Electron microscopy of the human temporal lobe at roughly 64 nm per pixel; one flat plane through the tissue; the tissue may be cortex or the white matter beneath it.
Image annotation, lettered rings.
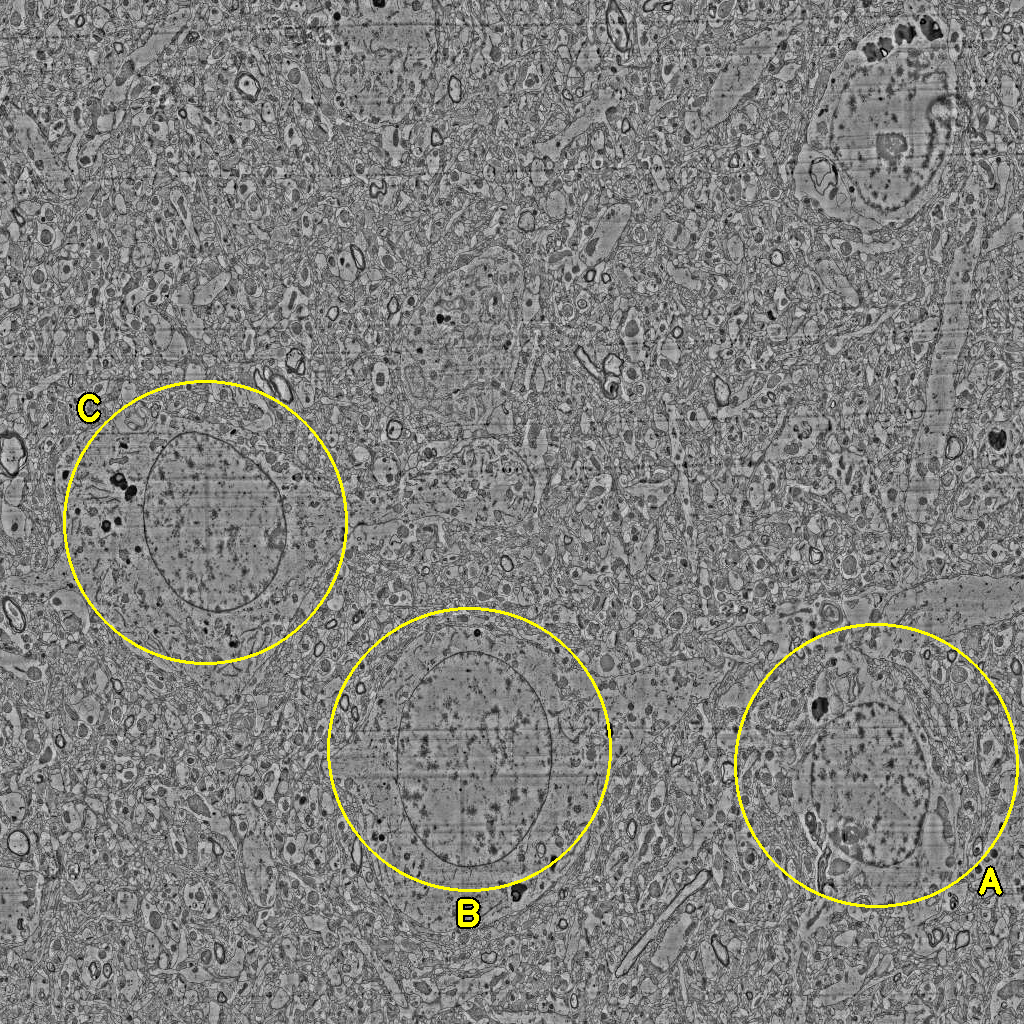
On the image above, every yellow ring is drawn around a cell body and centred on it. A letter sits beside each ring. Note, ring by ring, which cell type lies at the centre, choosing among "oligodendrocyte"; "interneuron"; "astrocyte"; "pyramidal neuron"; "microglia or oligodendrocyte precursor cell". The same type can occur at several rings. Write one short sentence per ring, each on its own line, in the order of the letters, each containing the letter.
Ring A has an astrocyte at its centre.
Ring B has a pyramidal neuron at its centre.
Ring C has a pyramidal neuron at its centre.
